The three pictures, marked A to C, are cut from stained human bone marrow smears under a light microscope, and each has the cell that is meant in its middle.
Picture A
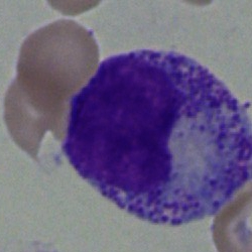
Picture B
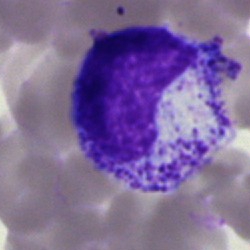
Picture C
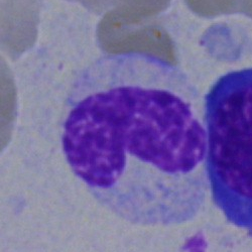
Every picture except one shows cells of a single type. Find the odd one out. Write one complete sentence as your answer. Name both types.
The others show metamyelocytes, but picture A shows a myelocyte.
